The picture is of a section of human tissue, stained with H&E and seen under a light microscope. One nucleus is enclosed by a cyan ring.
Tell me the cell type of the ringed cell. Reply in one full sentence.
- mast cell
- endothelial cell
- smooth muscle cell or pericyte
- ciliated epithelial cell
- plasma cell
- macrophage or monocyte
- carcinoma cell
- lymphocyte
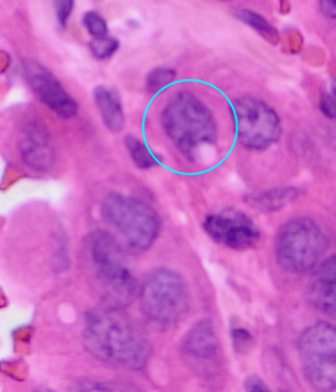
The ringed cell appears to be a carcinoma cell.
